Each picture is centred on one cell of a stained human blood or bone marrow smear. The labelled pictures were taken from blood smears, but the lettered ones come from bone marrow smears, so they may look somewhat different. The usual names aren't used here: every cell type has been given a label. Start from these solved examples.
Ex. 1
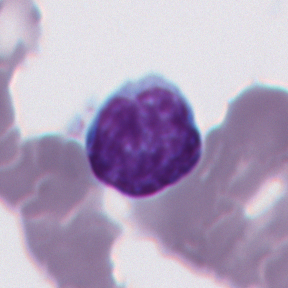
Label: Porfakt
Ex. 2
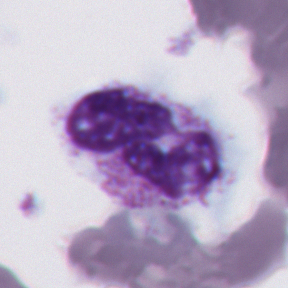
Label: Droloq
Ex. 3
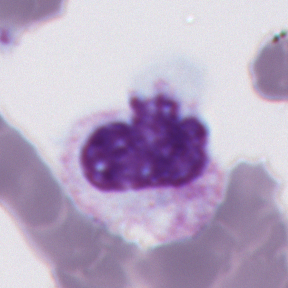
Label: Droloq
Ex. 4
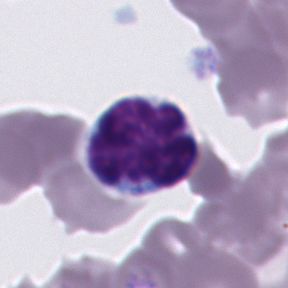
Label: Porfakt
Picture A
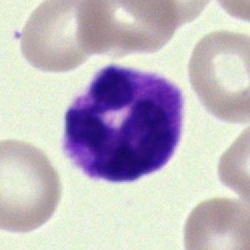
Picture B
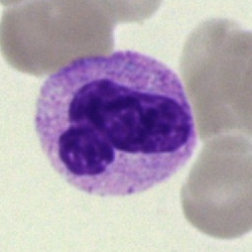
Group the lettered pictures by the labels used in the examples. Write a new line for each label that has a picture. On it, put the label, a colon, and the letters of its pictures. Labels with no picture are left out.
Droloq: A, B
